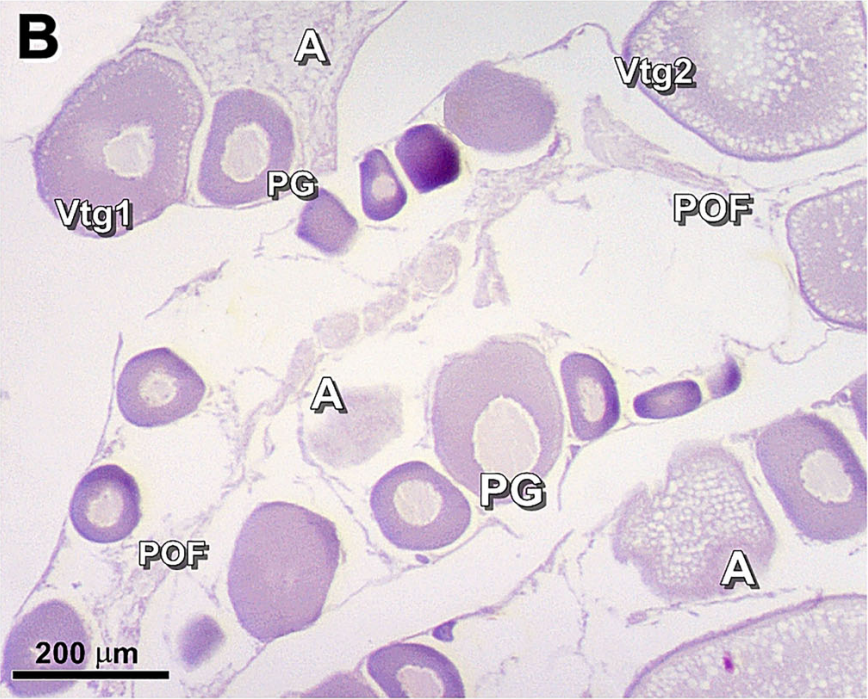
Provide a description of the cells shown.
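Ovary dominated by small early oocytes with dense purple cytoplasm and pale round central nuclei, some in rows. Between them lie pale, irregular degenerating follicles and collapsed empty follicle remnants in loose connective tissue. Larger oocytes at the edges show paler cytoplasm with fine vesicles.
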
